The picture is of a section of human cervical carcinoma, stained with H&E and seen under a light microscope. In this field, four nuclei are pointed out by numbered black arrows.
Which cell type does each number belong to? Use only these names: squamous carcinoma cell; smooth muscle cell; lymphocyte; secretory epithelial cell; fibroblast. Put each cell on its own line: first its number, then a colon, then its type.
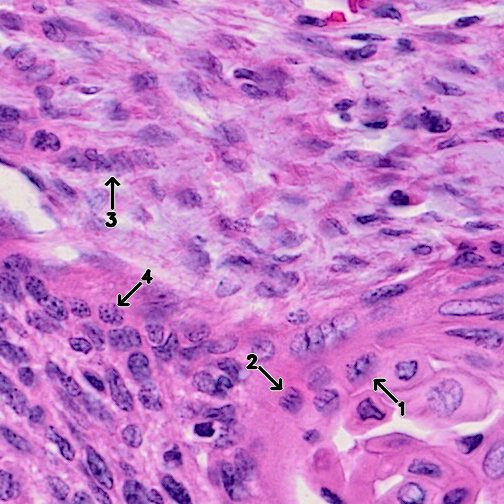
1: squamous carcinoma cell
2: squamous carcinoma cell
3: fibroblast
4: squamous carcinoma cell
